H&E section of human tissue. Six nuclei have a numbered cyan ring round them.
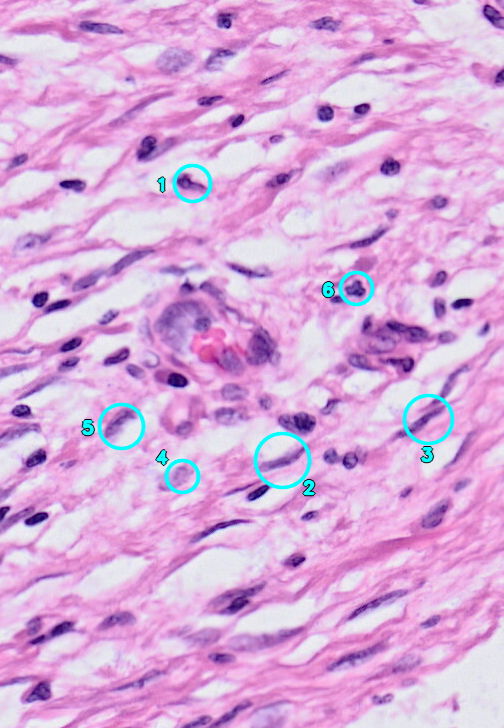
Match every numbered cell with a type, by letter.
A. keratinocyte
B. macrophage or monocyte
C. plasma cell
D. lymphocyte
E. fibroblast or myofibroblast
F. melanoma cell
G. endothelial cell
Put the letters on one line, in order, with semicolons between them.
B; E; E; E; E; D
